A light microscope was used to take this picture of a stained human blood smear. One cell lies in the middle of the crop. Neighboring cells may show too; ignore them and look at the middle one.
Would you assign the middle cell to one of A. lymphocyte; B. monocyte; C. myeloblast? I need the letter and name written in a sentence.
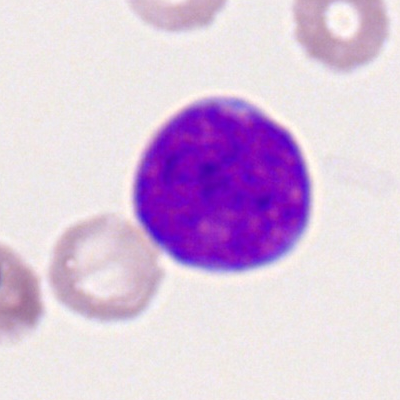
The cell centred in the crop is a myeloblast, and the correct option is thus C.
